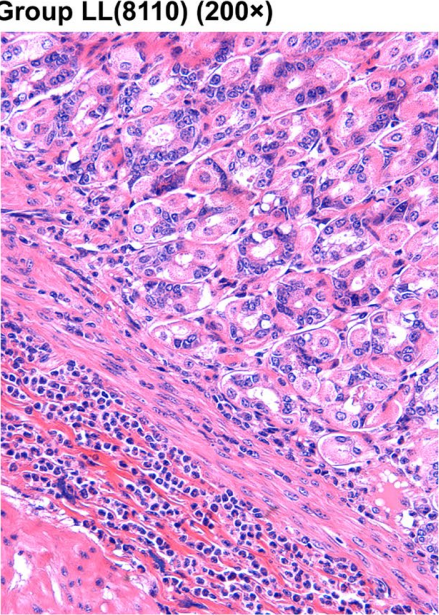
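Gastric glands fill the upper right, made of large polygonal cells with pale pink cytoplasm and round nuclei, some grouped around small lumens. A diagonal band of crowded small cells with round, dark nuclei and scant cytoplasm, consistent with lymphocytes, runs from upper left to lower right beneath the glands. This infiltrate is interleaved with pink fibrous and smooth muscle bundles containing elongated nuclei, with a few red strands among the cells.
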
